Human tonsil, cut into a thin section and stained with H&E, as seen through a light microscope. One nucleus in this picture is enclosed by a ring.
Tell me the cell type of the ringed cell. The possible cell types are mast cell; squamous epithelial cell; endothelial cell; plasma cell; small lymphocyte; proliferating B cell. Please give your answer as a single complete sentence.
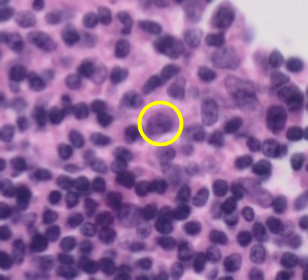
In cell-type terms, the ringed cell is a proliferating B cell.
